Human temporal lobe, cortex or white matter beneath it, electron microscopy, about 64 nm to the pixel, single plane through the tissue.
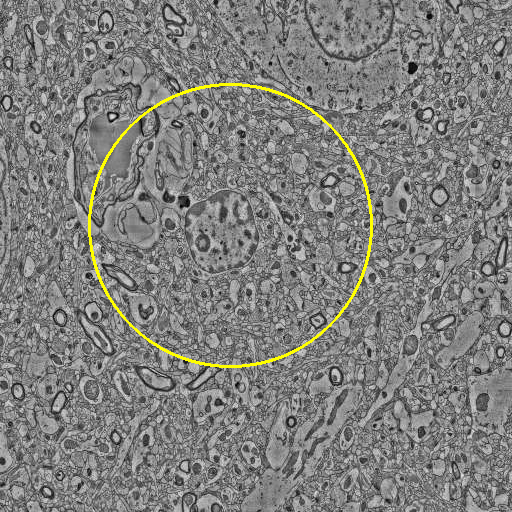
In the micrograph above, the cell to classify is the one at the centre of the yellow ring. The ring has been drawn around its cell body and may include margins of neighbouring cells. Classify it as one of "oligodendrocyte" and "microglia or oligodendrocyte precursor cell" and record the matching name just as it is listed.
microglia or oligodendrocyte precursor cell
